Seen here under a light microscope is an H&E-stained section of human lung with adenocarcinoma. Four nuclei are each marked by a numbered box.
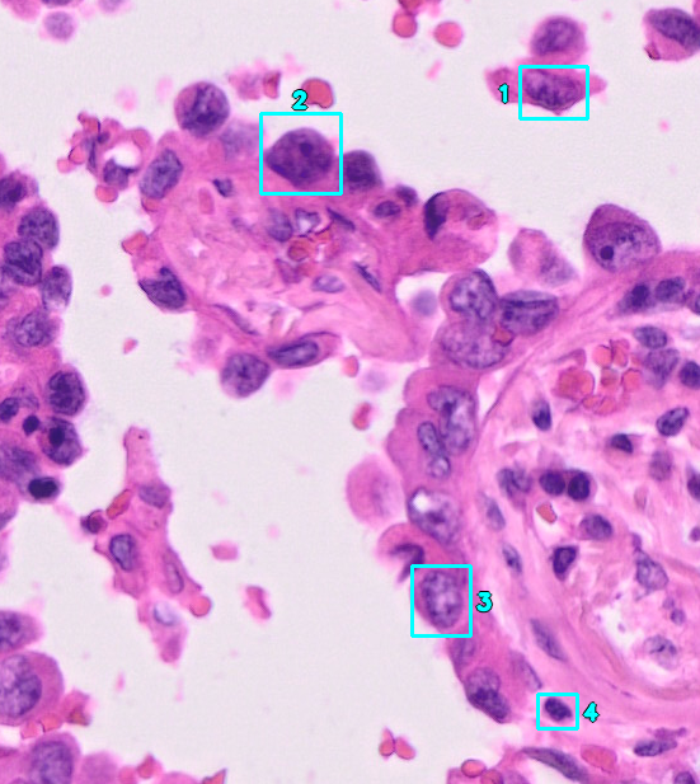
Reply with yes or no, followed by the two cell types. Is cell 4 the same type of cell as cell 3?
No, cell 4 is a lymphocyte whereas cell 3 is a carcinoma cell.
